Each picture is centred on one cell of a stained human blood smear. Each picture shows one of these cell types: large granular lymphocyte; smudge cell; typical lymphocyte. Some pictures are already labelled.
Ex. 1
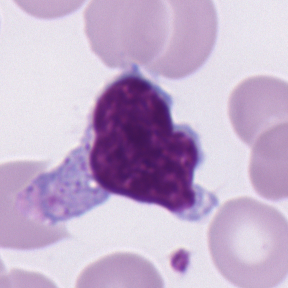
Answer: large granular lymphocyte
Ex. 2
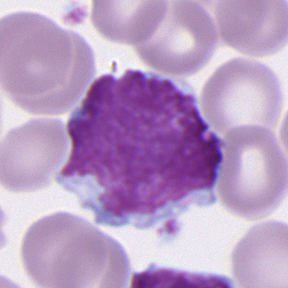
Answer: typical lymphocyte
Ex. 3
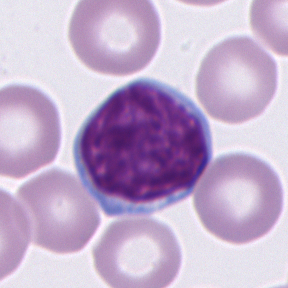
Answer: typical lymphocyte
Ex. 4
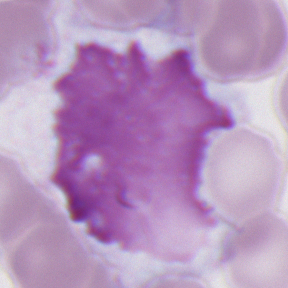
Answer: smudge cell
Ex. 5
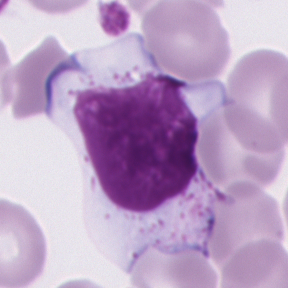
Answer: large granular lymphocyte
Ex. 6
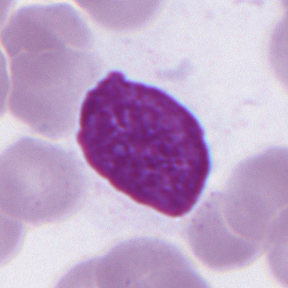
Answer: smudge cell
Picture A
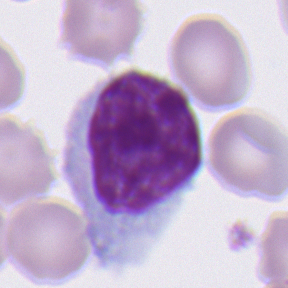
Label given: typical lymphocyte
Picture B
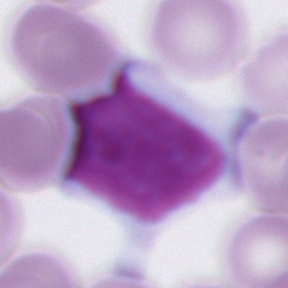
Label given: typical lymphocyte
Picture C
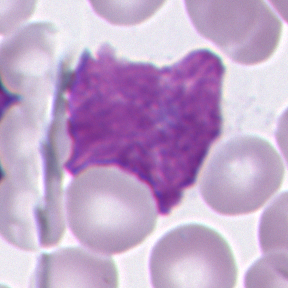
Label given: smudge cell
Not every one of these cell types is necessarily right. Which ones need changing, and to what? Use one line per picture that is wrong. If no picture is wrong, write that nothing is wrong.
All correct.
